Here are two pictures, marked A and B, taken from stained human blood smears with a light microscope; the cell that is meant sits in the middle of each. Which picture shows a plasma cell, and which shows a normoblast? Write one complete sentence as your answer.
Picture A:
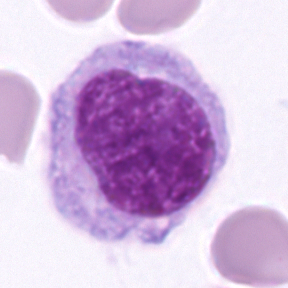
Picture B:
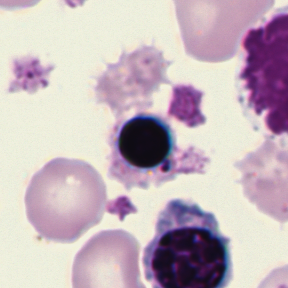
Picture A is of a plasma cell, and picture B is of a normoblast.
